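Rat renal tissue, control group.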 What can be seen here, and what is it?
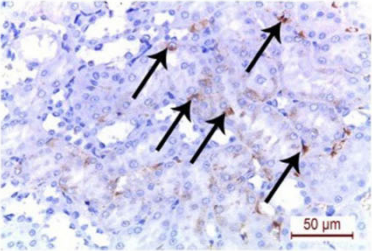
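Kidney cortex with closely packed tubules whose epithelial cells have round blue nuclei. Several single brown-stained cells, some elongated, sit in the narrow spaces between tubules.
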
